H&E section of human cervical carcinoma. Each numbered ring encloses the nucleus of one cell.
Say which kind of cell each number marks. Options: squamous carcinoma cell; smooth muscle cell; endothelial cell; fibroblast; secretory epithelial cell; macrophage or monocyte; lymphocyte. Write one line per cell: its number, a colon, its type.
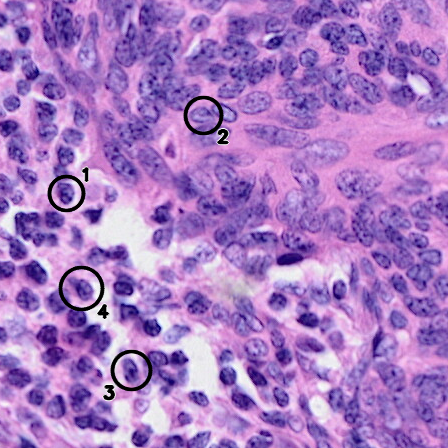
1: lymphocyte
2: squamous carcinoma cell
3: lymphocyte
4: lymphocyte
